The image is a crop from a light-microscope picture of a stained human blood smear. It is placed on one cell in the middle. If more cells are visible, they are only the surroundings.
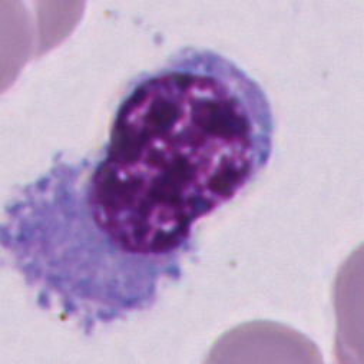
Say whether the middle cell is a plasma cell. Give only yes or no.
yes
